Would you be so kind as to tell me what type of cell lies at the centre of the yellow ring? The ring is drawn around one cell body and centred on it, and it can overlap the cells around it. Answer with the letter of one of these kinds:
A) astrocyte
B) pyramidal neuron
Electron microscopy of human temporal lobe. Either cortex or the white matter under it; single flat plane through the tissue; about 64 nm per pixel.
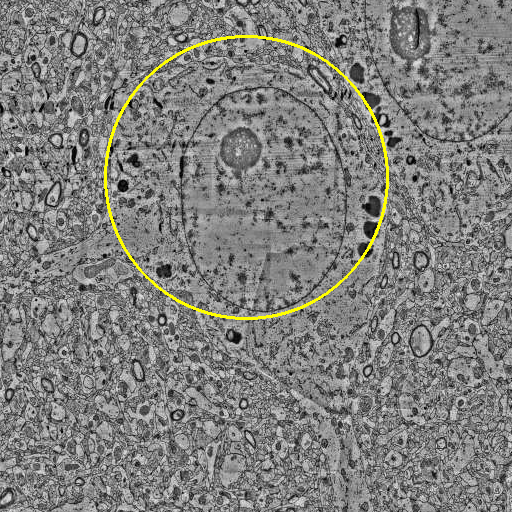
B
